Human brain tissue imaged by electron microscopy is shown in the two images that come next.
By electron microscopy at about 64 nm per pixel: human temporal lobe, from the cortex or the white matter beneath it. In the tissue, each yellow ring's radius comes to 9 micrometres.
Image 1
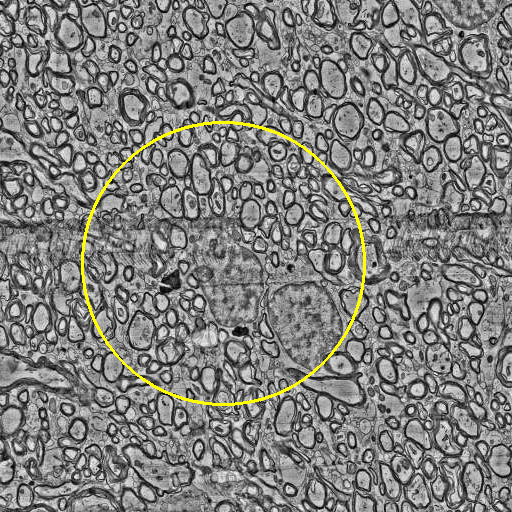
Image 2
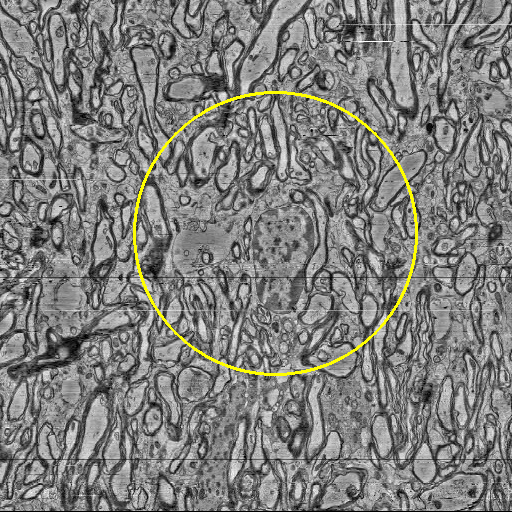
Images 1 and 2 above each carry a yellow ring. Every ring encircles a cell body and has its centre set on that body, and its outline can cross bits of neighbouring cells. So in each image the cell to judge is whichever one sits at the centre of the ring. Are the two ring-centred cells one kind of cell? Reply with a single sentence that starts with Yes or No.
No, in Image 1 and Image 2 the cells at the centres of their rings fall into two types.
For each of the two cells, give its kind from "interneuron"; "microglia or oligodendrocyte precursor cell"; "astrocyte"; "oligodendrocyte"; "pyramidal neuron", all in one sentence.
The first picture has an oligodendrocyte in its ring, the second has a microglial cell or oligodendrocyte precursor cell.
